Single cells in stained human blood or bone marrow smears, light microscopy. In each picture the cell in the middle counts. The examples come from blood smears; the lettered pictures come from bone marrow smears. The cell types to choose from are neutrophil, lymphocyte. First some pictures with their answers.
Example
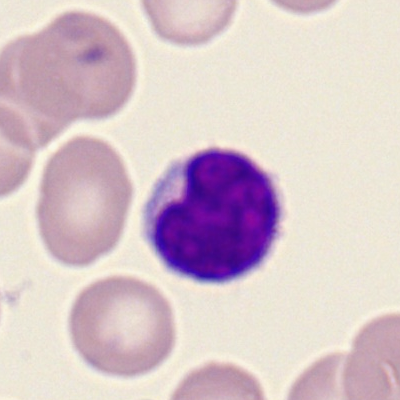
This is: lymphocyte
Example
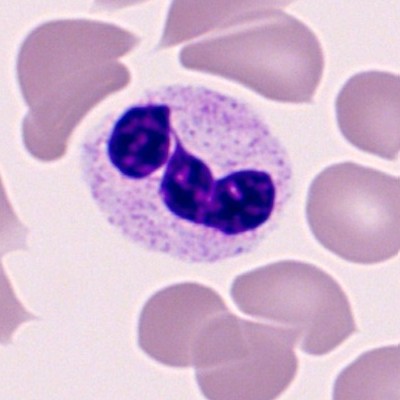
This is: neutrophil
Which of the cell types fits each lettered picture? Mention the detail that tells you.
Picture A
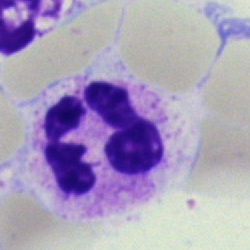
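neutrophil. Fine pink-violet granules are scattered throughout the cytoplasm.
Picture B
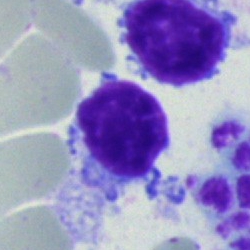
lymphocyte. Cytoplasm is so scant that hardly any rim shows around the nucleus.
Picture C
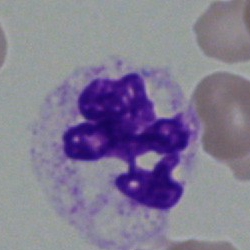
neutrophil. The cytoplasm is abundant and pale greyish-pink.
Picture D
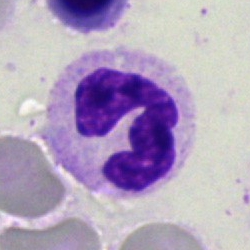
neutrophil. The cytoplasm is plentiful and pale pinkish-lilac.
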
